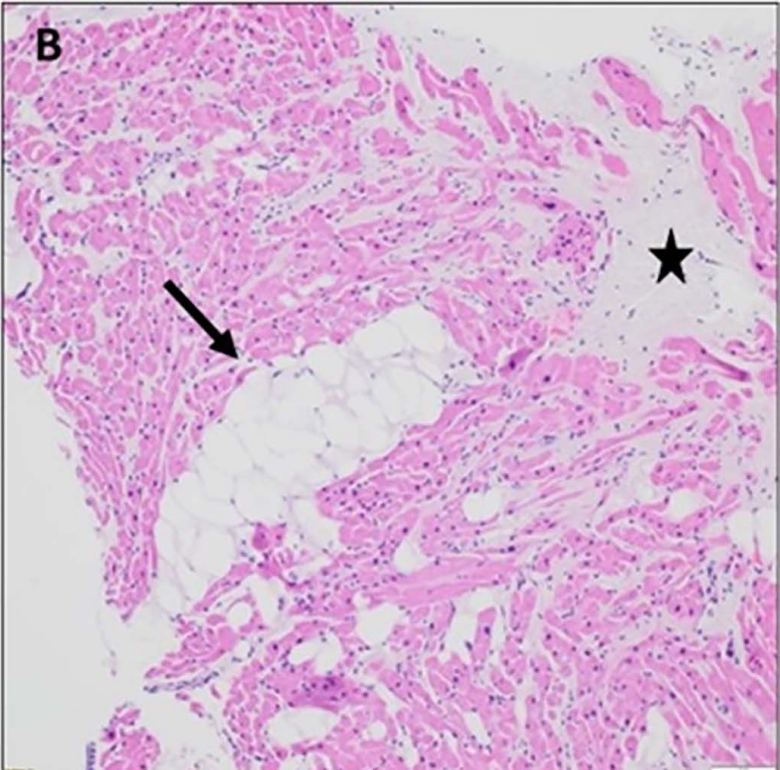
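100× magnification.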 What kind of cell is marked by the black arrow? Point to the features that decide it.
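Adipocytes. The arrow points to a cluster of large, round, empty-looking cells with thin walls. These clear cells lie wedged between pink muscle fibres.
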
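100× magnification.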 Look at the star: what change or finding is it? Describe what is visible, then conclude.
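The star lies on a pale, loosely textured area with few scattered nuclei. This pale area replaces muscle fibres between separated pink fibres. The answer: fibrosis.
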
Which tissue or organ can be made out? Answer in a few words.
Myocardium.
